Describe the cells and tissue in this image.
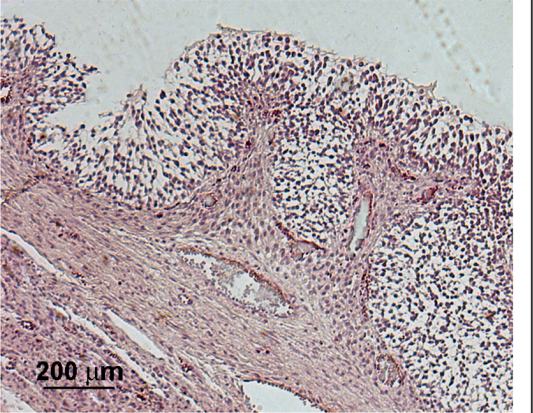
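Wall of an ovarian follicle at lower magnification, with a thick granulosa cell layer facing a clear cavity above. The granulosa cells have small dark nuclei spaced apart in a pale, loose matrix, so the layer looks expanded rather than compact. Beneath it lies pinker tissue of spindle-shaped cells with small vessels running through it.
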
